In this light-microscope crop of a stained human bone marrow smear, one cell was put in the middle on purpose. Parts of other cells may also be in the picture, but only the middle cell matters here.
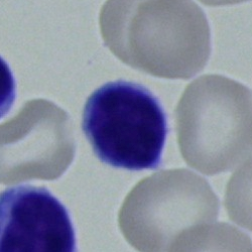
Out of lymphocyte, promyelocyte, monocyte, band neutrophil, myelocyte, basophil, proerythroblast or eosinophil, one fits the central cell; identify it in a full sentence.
This particular crop is centered on a lymphocyte.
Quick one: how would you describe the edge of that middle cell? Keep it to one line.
From every side, the cell boundary is smooth and free of projections.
